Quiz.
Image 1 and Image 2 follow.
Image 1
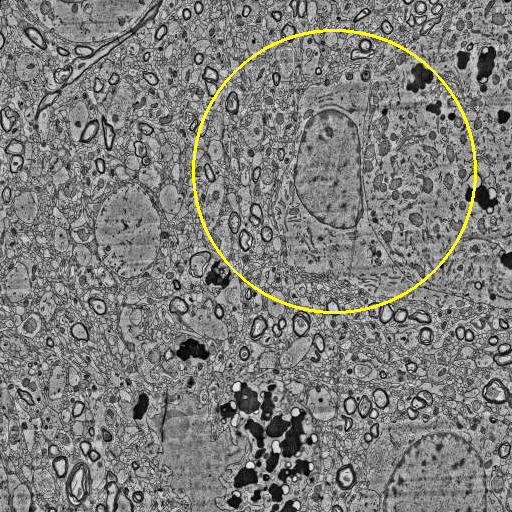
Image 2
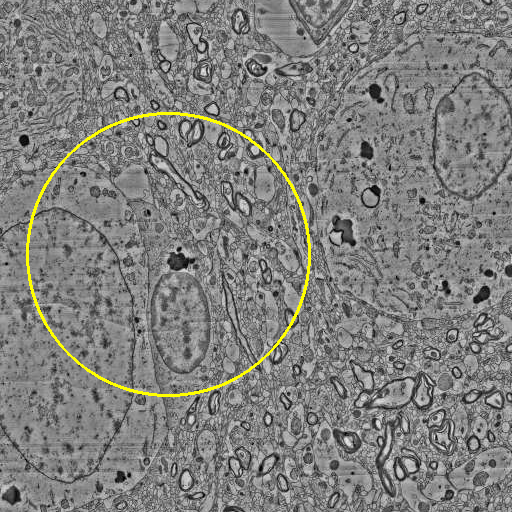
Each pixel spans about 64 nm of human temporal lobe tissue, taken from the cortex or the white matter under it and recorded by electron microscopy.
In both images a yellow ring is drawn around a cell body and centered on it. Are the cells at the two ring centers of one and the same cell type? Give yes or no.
no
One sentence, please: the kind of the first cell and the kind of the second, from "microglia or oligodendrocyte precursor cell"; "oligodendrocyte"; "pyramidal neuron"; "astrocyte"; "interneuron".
The ring in the first picture surrounds a microglial cell or oligodendrocyte precursor cell, and the ring in the second surrounds an oligodendrocyte.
